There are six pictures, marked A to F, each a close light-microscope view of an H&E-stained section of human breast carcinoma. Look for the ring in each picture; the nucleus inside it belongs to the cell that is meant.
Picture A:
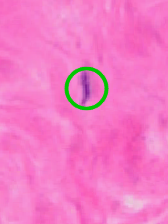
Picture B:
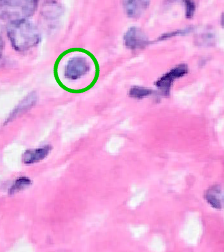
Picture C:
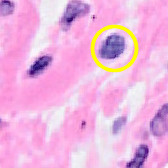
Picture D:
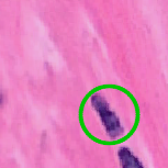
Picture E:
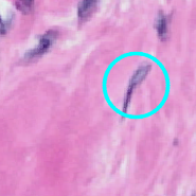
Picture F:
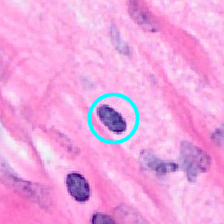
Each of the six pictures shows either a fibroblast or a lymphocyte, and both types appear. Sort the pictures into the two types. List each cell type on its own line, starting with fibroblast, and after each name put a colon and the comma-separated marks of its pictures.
fibroblast: A, E
lymphocyte: B, C, D, F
